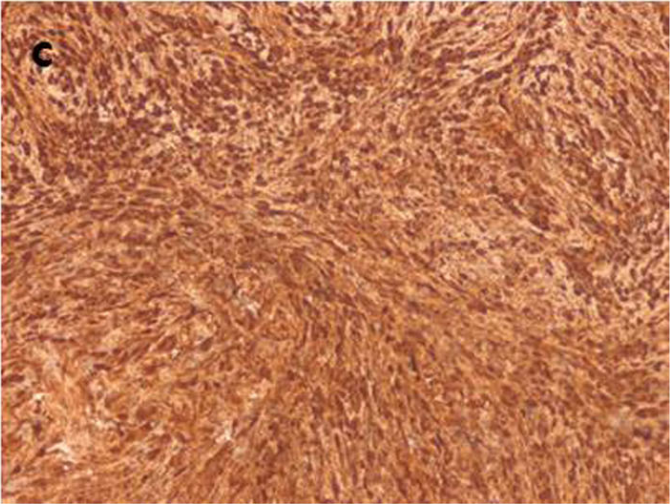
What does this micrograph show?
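This tumor is made of densely packed spindle-shaped tumor cells arranged in a fascicular pattern, with bundles that sweep and intersect across the field. Cytoplasm and nuclei are diffusely and strongly stained brown throughout, with no unstained areas of note. Looser and more compact zones alternate between the bundles.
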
